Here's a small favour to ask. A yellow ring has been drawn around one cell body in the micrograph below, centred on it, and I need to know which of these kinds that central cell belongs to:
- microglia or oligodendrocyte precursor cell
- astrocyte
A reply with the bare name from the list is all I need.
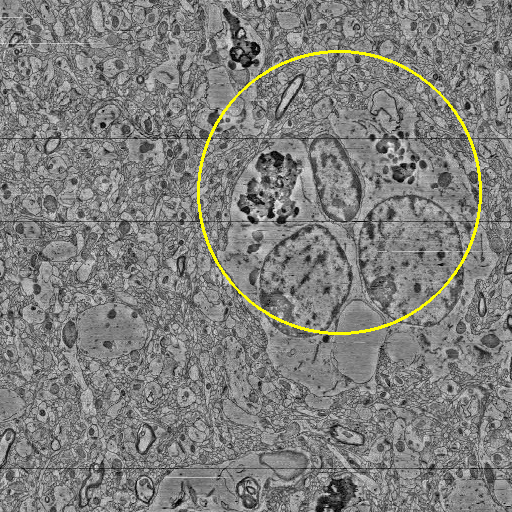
microglia or oligodendrocyte precursor cell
